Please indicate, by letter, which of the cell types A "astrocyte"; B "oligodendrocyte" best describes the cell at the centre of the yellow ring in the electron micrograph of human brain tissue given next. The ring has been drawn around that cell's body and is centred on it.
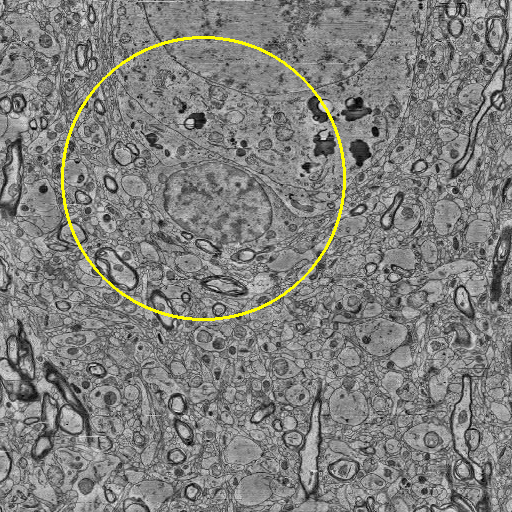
B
